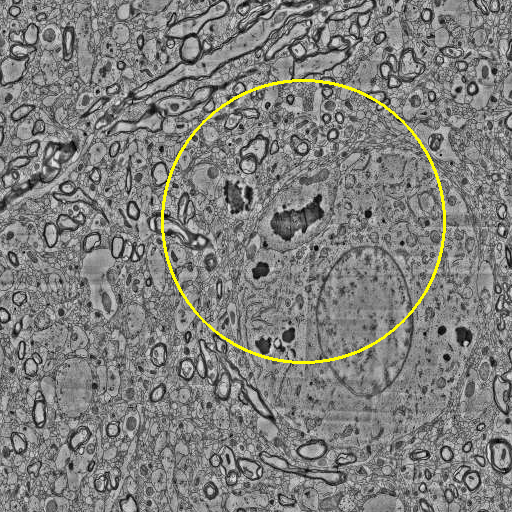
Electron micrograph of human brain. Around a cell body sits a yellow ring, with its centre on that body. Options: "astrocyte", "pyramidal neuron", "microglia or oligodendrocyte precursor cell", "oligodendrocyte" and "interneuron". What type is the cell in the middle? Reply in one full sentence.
The cell sitting at the centre of the yellow ring is an oligodendrocyte.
